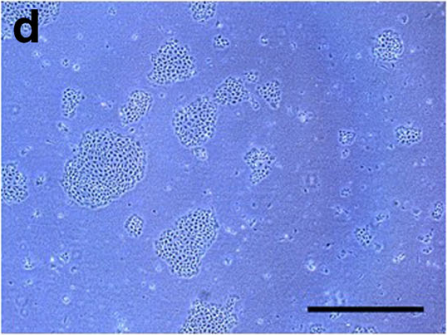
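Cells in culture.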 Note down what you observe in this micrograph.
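The colonies are compact islands of varying size, from a few cells to large rounded sheets. Cells within them are small, rounded to polygonal and tightly abutting in a cobblestone arrangement. Large areas of the dish between colonies are free of cells, with a few isolated single cells.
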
